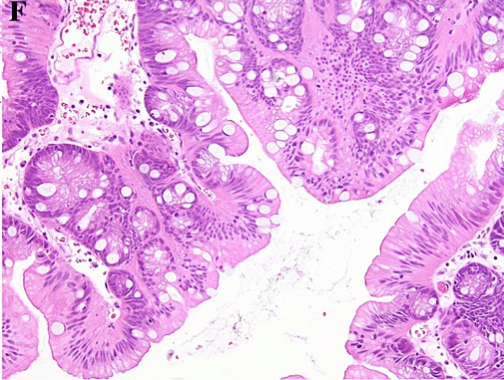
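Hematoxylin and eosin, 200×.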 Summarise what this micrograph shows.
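The cells are tall, with strongly pink cytoplasm. Their nuclei are elongated, crowded and pencil-shaped. The nuclei stay mostly toward the base of the cells. Crypts with rounded goblet cells sit within the fronds, and a loose lamina propria forms their cores.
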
